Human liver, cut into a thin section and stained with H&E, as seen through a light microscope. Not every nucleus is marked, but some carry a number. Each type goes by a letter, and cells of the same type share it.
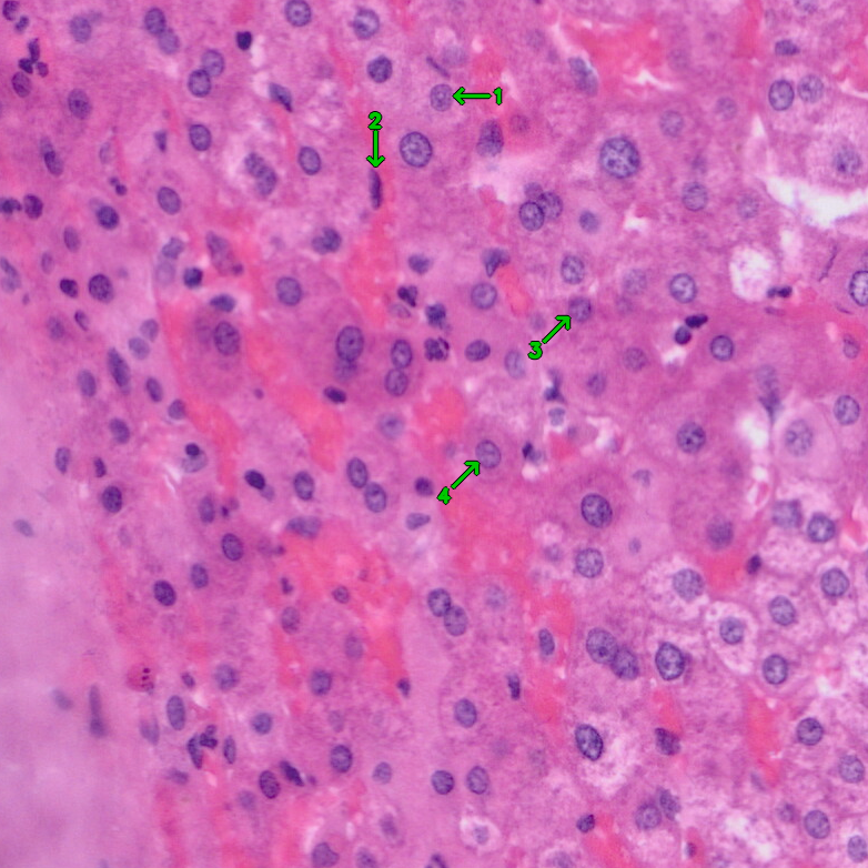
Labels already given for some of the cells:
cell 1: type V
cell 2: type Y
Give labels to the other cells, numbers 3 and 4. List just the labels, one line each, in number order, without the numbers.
type V
type V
